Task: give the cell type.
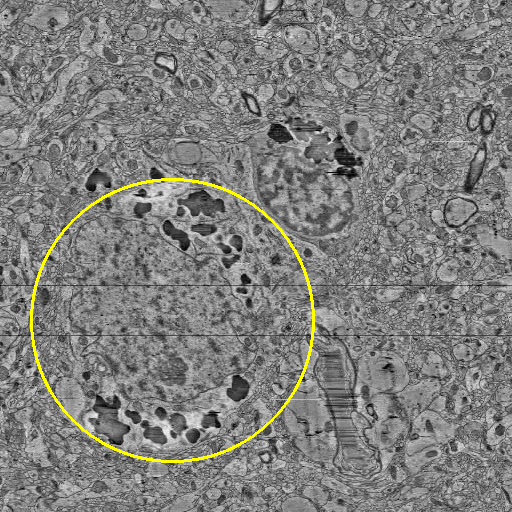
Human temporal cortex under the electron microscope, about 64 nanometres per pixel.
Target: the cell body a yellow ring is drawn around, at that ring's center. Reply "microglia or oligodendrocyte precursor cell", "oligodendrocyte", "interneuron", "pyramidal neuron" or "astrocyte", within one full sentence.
In this picture, the cell whose body lies at the ring's center is an interneuron.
